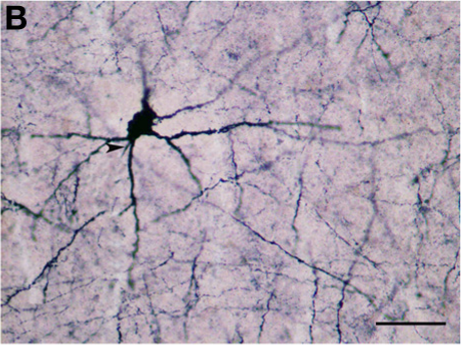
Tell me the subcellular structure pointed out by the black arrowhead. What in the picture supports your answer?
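The arrowhead points to a fine process at the left side of the dark cell body. The marked process arises near the base of a thicker trunk.
Conclusion: axon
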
